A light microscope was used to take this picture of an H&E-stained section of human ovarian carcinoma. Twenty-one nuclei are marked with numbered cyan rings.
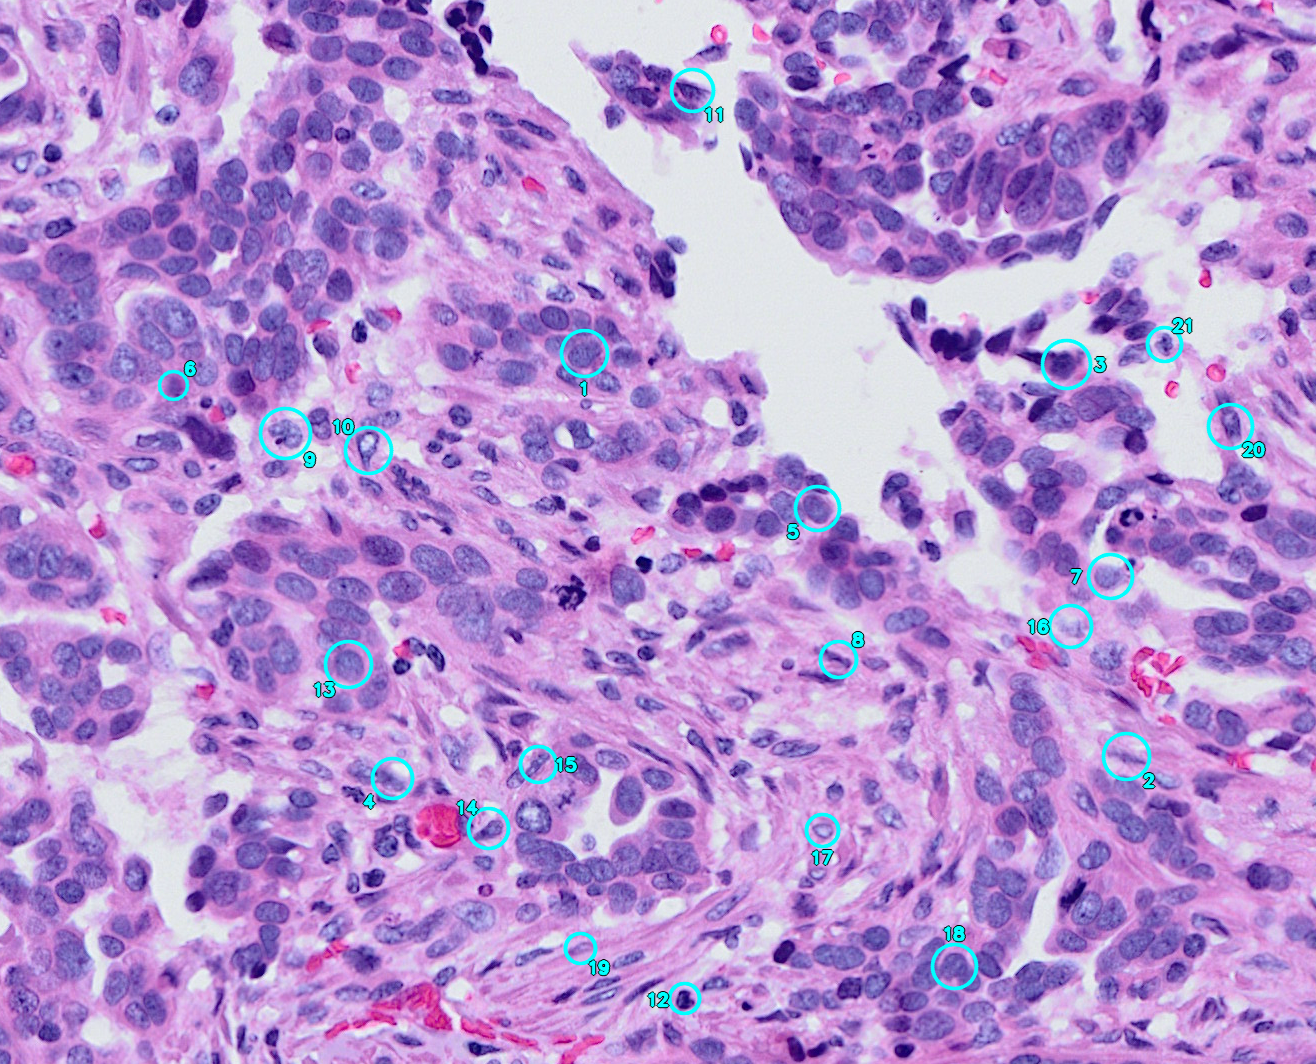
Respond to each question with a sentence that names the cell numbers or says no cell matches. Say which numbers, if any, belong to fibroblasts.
To be specific, the cells numbered 2, 4, 8, 10, 14, 15, 16, 17 and 19 are fibroblasts.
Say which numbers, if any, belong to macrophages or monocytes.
In terms of cell type, cells 9 and 20 are macrophages or monocytes.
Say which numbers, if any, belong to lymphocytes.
The cells with numbers 12 and 21 are lymphocytes by type.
